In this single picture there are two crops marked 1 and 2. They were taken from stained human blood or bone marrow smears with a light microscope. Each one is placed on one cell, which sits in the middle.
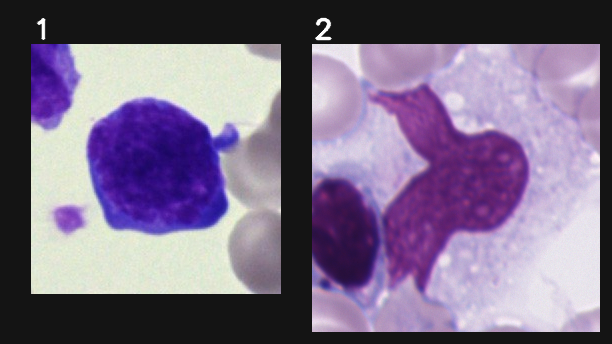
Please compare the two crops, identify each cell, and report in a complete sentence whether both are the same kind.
No, crop 1 contains a blast; a monocyte is what crop 2 contains.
